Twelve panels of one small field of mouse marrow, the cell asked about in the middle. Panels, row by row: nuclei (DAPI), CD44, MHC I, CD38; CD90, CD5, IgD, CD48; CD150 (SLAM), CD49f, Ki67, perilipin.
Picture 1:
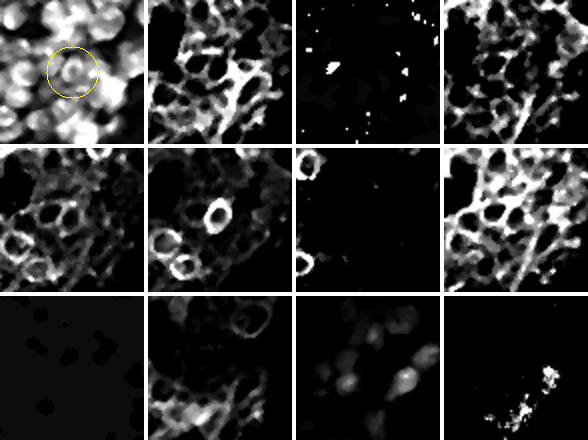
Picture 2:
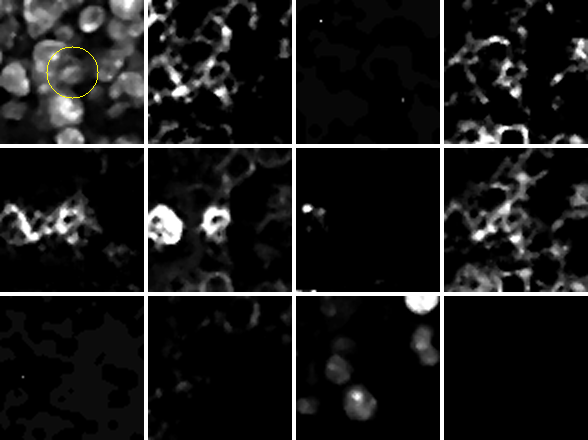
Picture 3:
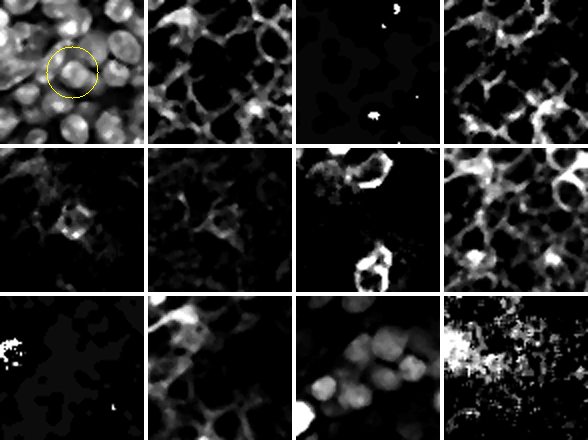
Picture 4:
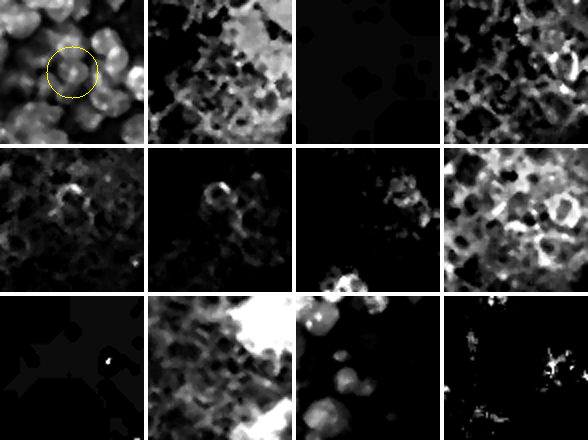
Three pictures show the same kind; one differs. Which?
Picture 4: a monocyte, while the others are T cells.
